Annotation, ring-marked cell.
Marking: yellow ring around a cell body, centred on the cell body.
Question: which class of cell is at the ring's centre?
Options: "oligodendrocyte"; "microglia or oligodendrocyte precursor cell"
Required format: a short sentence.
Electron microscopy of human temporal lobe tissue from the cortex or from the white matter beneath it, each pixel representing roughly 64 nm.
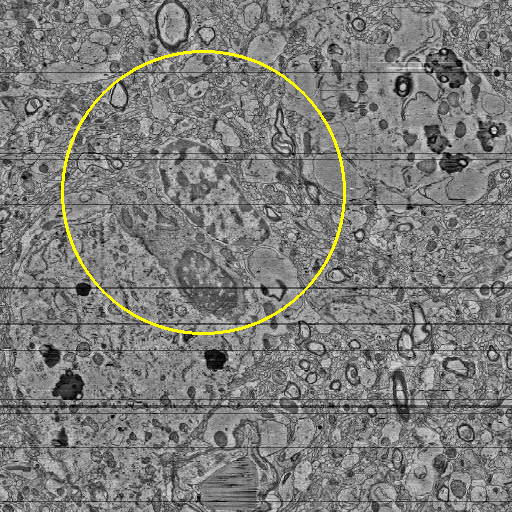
At the ring's centre is a microglial cell or oligodendrocyte precursor cell.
